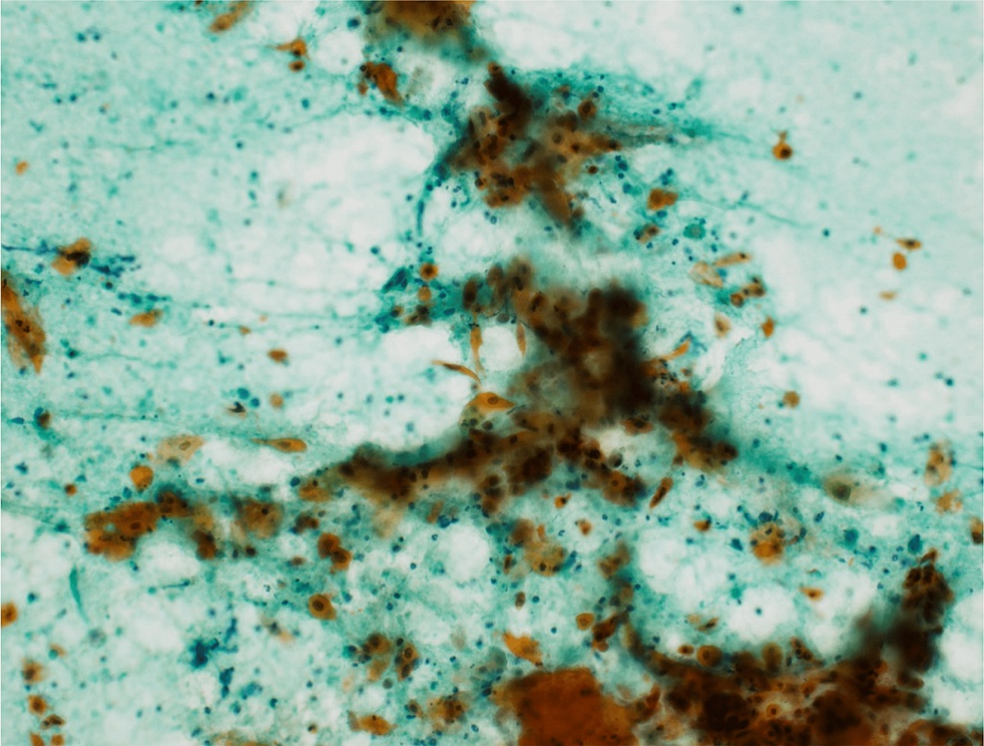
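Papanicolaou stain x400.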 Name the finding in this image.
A: Squamous cell carcinoma.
